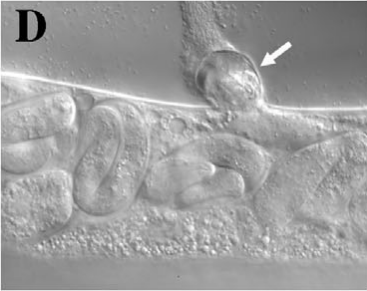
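Midbody of a hermaphrodite worm in which the vulva forms a rounded bulge protruding out beyond the ventral body wall. Beneath it the uterus holds several embryos, some elongated and folded, and below them lies granular intestinal tissue.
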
